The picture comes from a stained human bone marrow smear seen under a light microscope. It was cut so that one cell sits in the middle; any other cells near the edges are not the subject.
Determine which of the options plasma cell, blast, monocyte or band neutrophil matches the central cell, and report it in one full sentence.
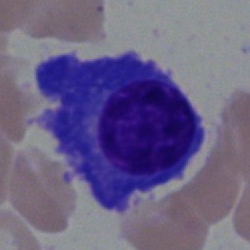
What the crop centres on is a plasma cell.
